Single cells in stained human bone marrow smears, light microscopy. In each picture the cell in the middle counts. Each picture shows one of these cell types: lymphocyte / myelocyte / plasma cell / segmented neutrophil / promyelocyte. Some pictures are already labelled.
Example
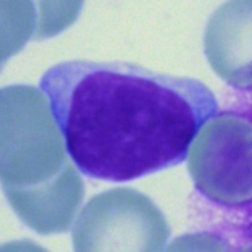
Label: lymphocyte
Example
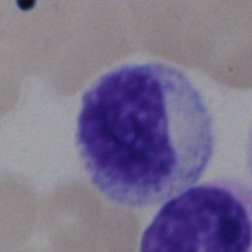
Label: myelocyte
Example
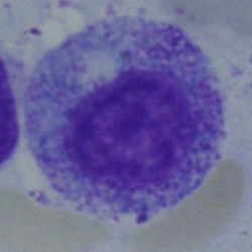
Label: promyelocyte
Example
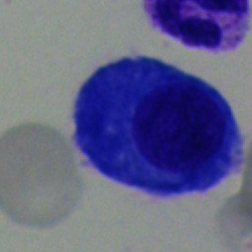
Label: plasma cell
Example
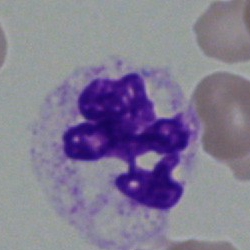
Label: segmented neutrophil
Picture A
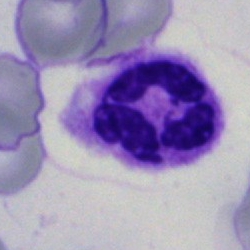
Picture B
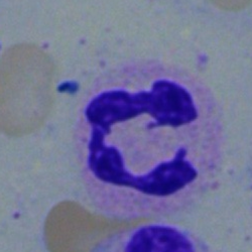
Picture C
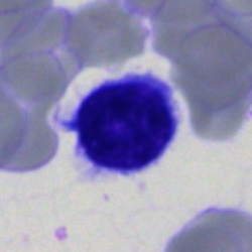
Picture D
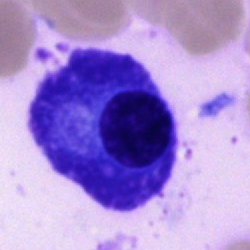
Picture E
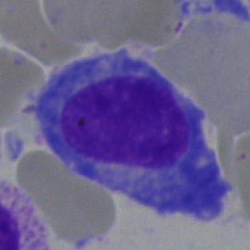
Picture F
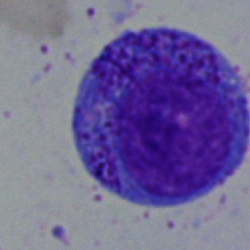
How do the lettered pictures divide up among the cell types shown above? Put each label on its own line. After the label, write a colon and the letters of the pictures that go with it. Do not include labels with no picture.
lymphocyte: C
plasma cell: D, E
segmented neutrophil: A, B
promyelocyte: F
